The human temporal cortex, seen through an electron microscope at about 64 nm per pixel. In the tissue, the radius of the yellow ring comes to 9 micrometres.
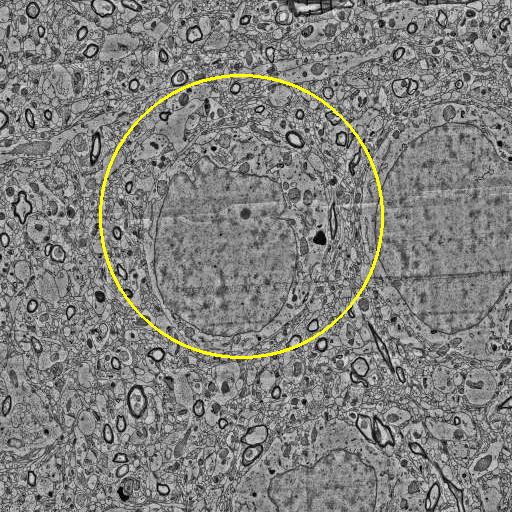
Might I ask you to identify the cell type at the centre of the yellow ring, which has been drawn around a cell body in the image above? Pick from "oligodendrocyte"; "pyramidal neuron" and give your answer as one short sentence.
The centre of the ring falls on a pyramidal neuron.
